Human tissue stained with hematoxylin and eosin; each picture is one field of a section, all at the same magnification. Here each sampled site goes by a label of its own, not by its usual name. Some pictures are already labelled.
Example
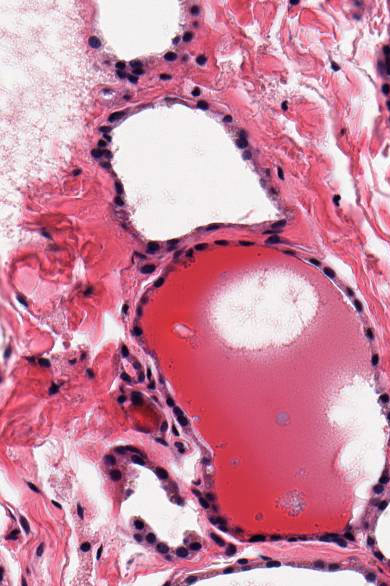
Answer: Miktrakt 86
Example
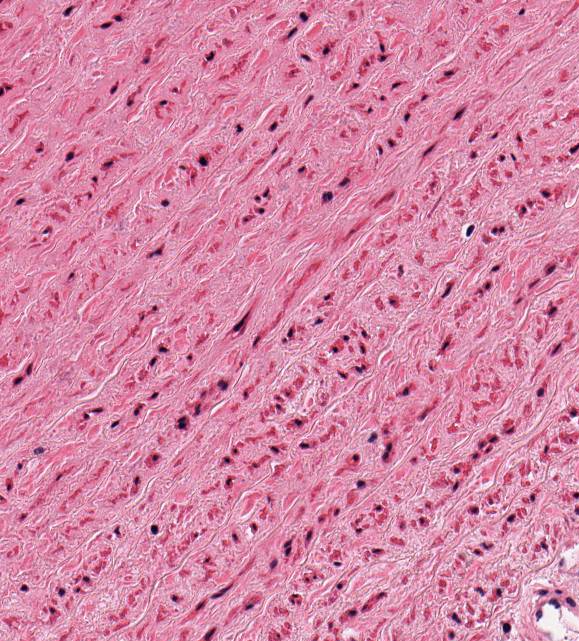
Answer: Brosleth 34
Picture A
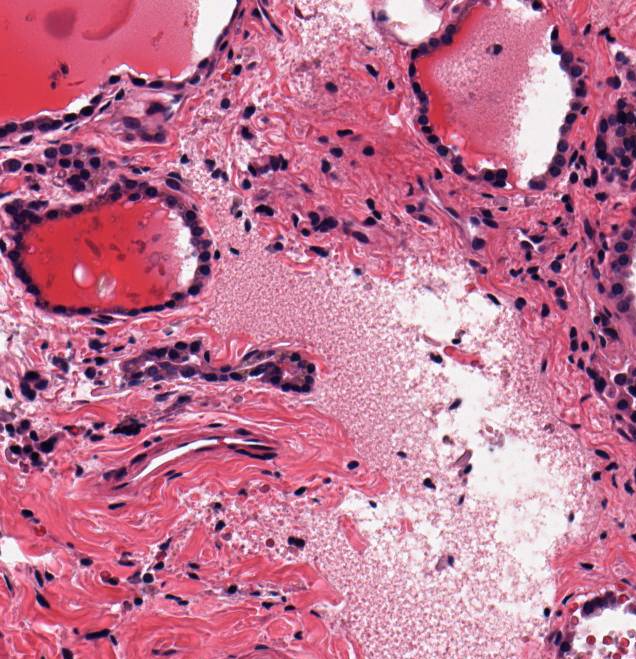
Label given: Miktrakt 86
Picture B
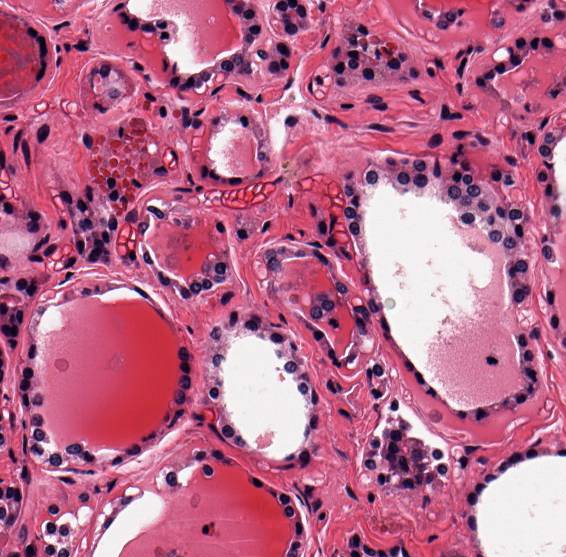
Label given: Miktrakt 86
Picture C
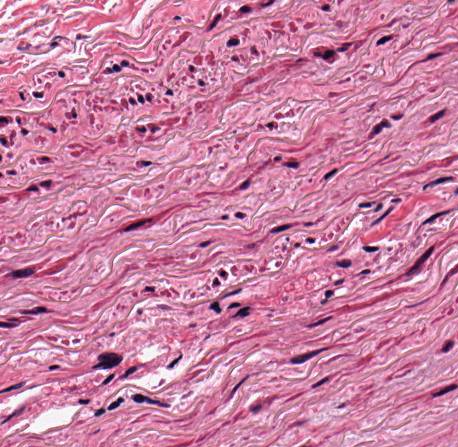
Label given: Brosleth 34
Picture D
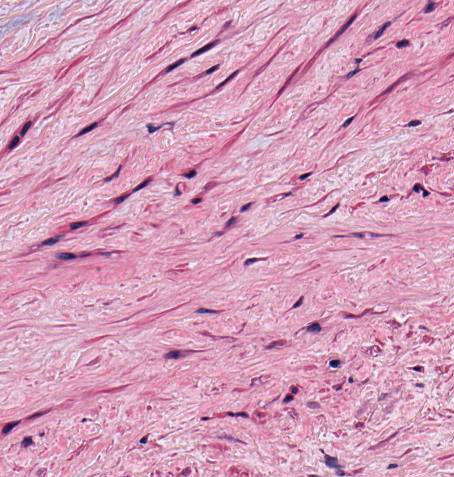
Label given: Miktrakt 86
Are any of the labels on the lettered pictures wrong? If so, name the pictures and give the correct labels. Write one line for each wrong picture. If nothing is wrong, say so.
D: not Miktrakt 86 but Brosleth 34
